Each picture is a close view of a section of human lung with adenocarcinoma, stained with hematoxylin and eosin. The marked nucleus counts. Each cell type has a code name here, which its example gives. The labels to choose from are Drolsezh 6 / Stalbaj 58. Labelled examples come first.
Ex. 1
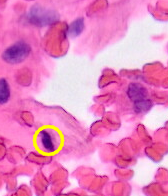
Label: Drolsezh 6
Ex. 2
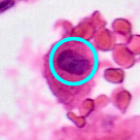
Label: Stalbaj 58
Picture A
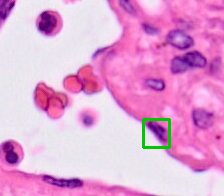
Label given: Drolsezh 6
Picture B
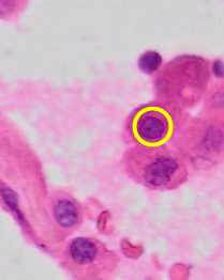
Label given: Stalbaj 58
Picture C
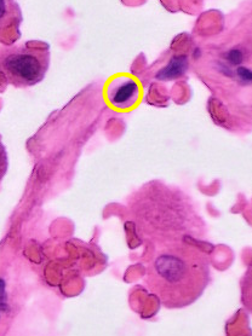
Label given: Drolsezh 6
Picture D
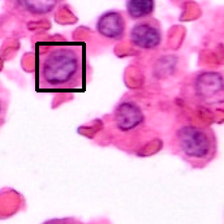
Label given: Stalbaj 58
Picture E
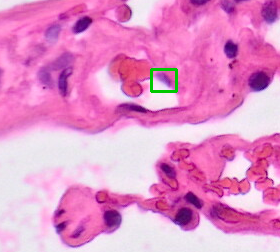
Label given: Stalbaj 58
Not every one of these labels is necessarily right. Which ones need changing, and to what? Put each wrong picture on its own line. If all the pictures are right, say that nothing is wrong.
E should be Drolsezh 6, not Stalbaj 58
